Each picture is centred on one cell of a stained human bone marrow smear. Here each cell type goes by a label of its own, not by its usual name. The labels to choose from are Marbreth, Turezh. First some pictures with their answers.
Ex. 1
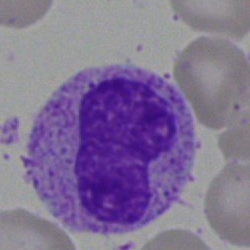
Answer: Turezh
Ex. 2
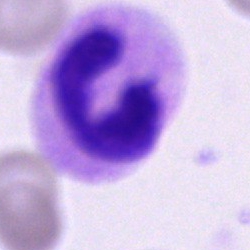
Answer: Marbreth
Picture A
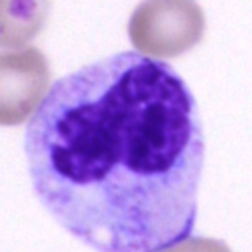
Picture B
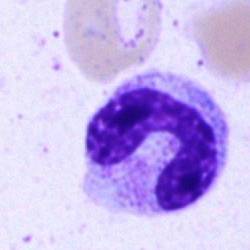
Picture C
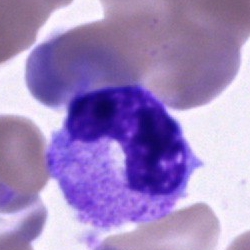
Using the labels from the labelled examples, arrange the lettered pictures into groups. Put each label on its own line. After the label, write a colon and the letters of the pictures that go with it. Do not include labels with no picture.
Marbreth: B, C
Turezh: A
